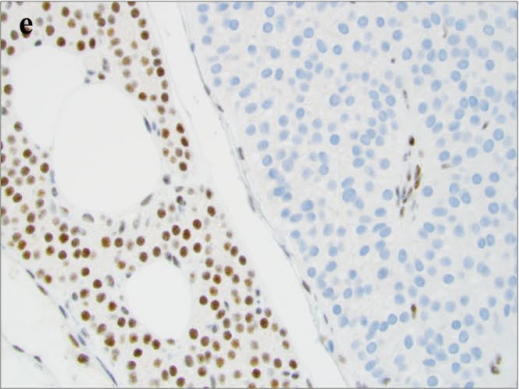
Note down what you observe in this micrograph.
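This field shows the edge of a parathyroid tumor beside a rim of normal parathyroid tissue, divided by a thin fibrous band. On the left, the normal parathyroid cells have round, evenly brown nuclei and lie in sheets among large clear fat vacuoles. On the right, the tumor cells form a solid sheet of round to oval nuclei stained blue, with pale, poorly defined cytoplasm. Within the tumor a few slender, elongated brown nuclei stand out in thin strands between the cells, corresponding to endothelial cells of the stroma.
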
